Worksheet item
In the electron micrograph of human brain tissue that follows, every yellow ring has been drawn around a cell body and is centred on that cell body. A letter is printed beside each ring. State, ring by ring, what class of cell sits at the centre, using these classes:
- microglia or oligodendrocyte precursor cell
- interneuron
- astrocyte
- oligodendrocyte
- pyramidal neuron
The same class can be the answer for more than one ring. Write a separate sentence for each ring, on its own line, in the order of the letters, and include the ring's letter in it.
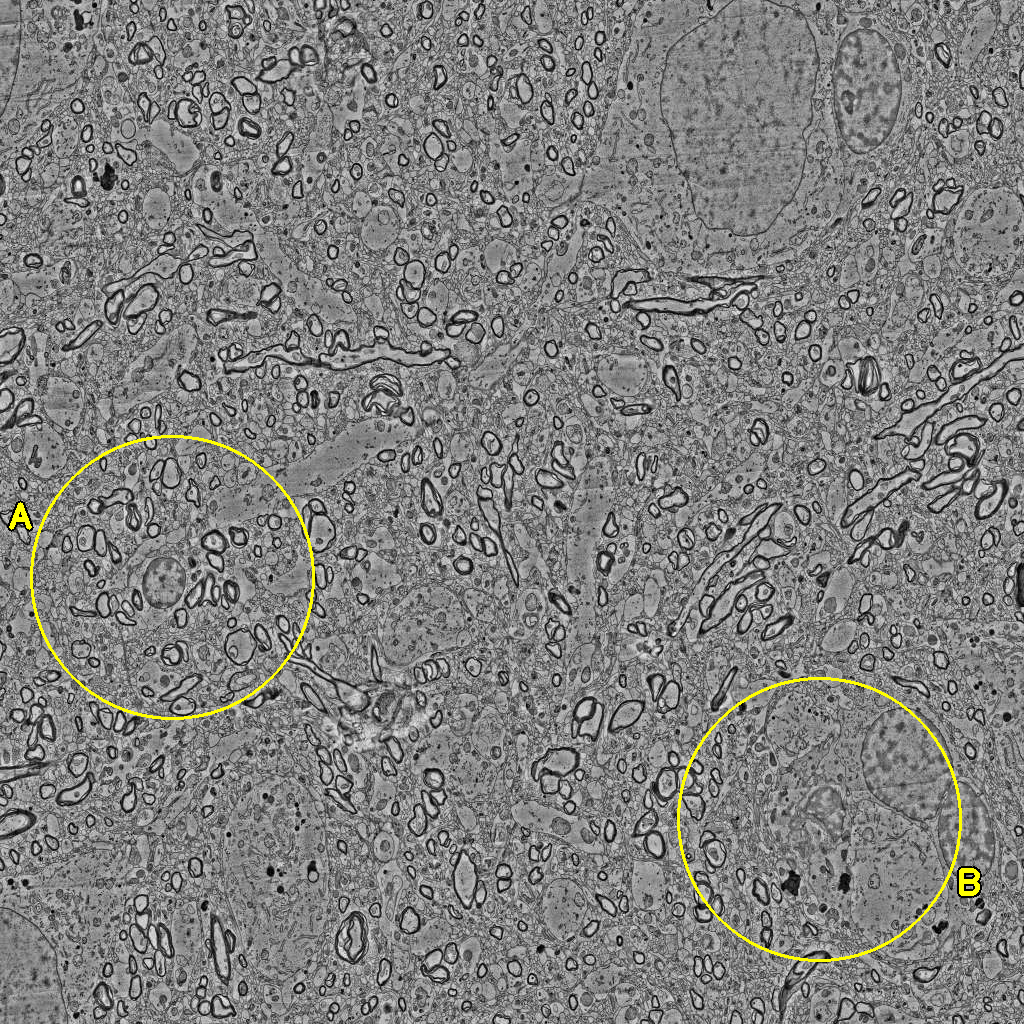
At the centre of ring A sits a microglial cell or oligodendrocyte precursor cell.
At the centre of ring B sits an oligodendrocyte.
